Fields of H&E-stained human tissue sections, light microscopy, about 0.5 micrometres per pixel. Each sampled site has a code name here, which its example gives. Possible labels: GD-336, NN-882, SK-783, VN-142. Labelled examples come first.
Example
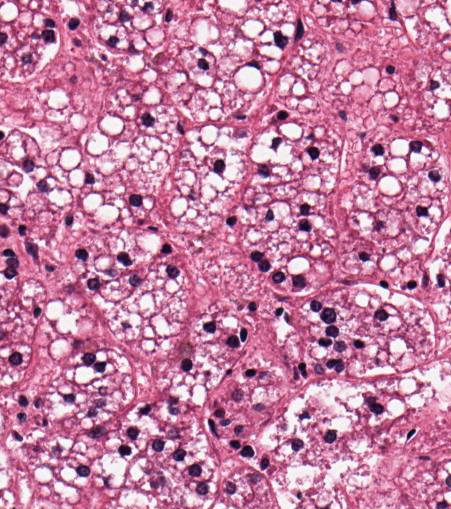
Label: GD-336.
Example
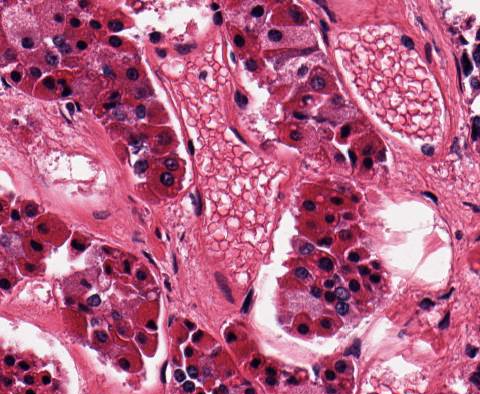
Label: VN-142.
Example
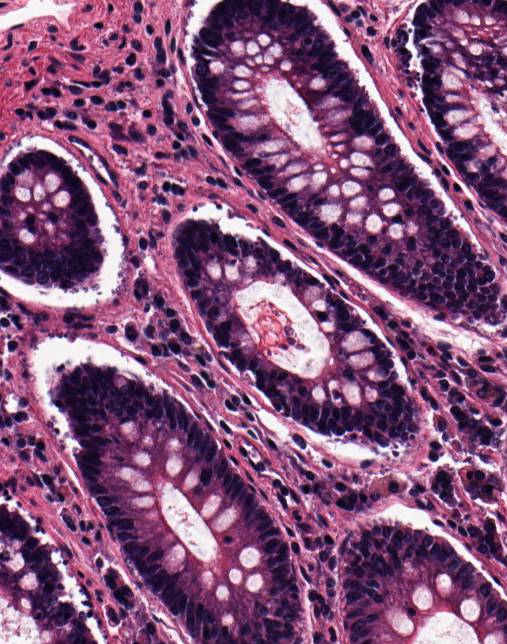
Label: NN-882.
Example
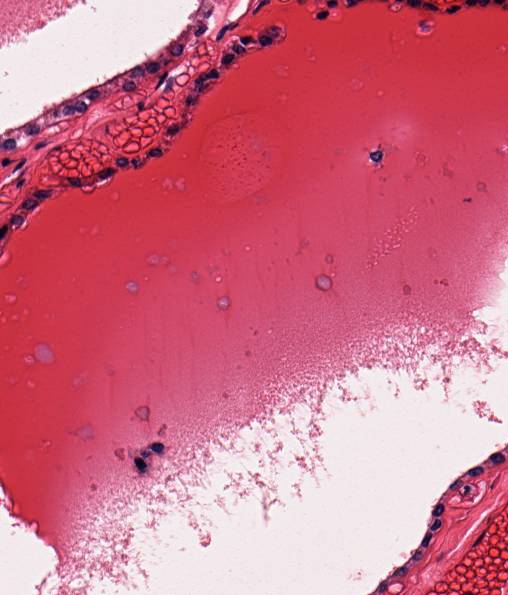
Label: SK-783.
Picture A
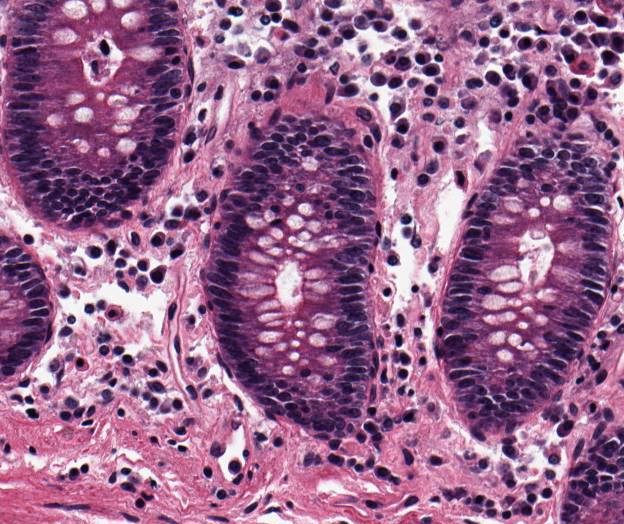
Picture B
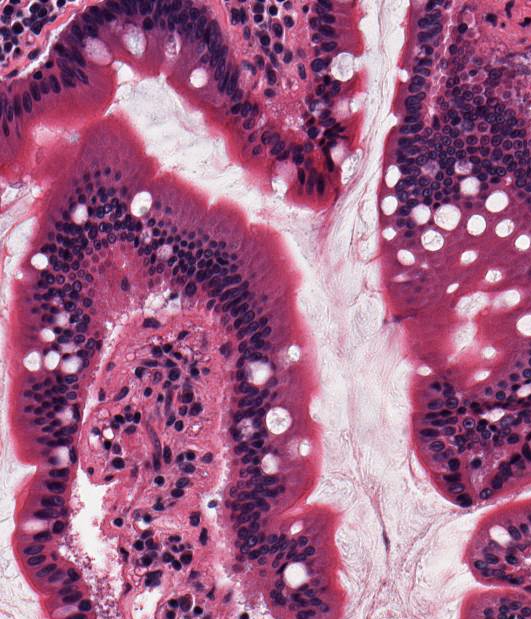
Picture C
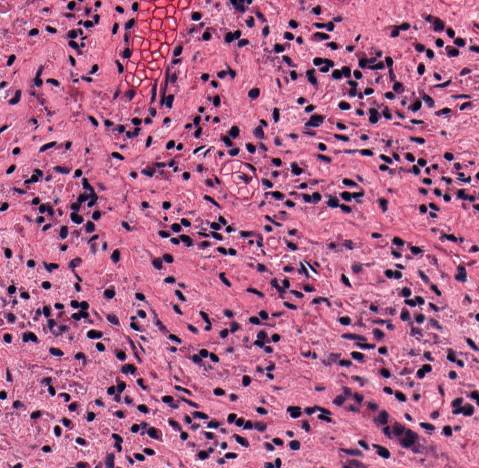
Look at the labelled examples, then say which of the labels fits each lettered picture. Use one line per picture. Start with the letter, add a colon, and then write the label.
A: NN-882.
B: NN-882.
C: NN-882.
